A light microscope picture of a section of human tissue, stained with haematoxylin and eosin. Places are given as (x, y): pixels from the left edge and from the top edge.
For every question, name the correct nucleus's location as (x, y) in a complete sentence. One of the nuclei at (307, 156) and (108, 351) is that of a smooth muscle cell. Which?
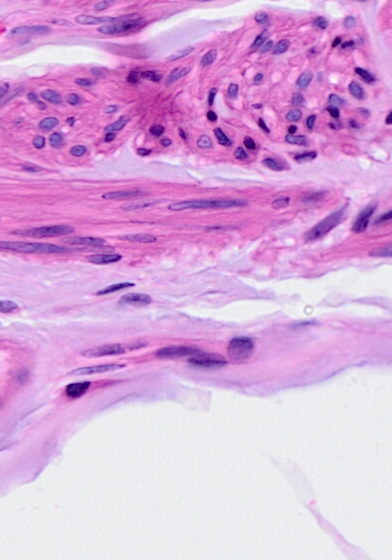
Belonging to a smooth muscle cell is the nucleus at (307, 156).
